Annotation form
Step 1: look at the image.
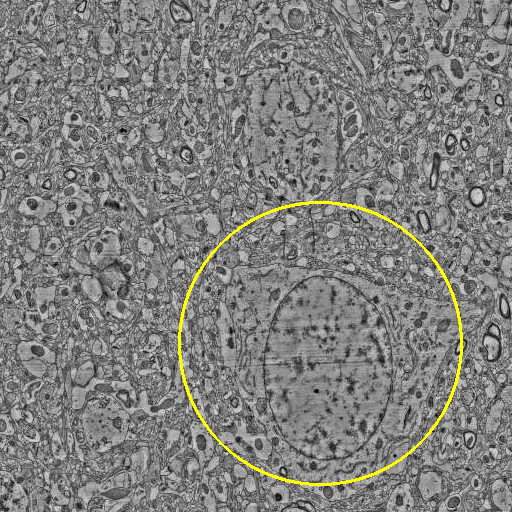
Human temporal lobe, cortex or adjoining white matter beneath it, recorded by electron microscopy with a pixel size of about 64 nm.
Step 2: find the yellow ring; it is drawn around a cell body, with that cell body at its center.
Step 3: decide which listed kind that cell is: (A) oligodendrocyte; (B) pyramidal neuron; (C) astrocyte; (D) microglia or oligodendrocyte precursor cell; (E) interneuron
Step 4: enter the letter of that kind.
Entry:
B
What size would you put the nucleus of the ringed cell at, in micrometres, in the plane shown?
Approximately 12 x 9 micrometres in this plane.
